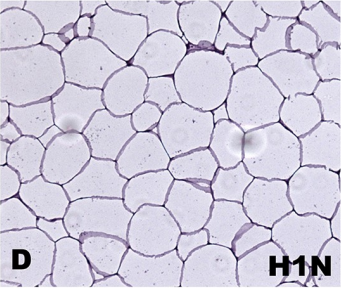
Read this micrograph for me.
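White adipose tissue in which adipocytes fill the whole field as large, round to polygonal cells packed closely against one another. Only a thin, pale purple rim of cytoplasm and cell membrane outlines each cell, forming a delicate network like a honeycomb. Cells vary in size, with some notably large ones beside smaller ones. Nuclei are hardly visible, pressed flat at the edge of the cells, and there is very little connective tissue between them.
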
